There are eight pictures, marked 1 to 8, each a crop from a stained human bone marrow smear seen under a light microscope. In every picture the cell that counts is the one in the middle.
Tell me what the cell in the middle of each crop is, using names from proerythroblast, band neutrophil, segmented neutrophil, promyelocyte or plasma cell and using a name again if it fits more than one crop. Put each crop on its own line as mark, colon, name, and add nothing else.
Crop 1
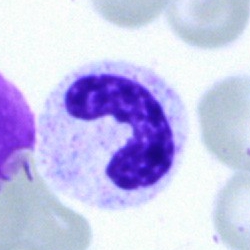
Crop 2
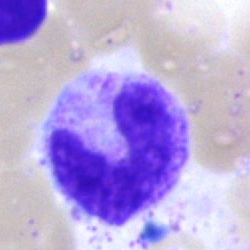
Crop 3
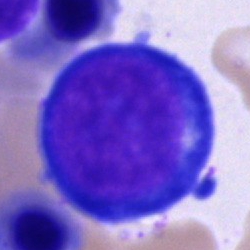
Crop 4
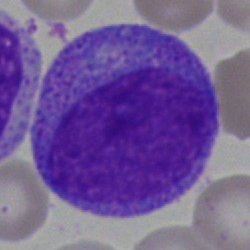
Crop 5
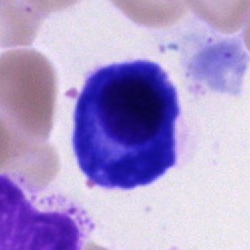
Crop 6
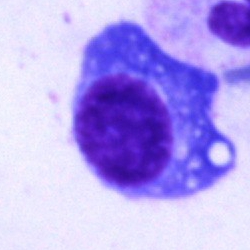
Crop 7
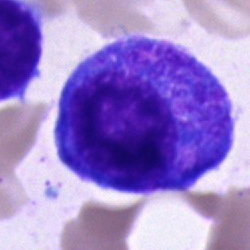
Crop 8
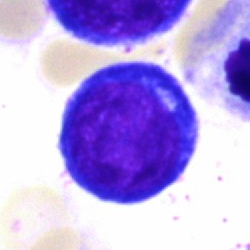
1: segmented neutrophil
2: band neutrophil
3: proerythroblast
4: promyelocyte
5: plasma cell
6: plasma cell
7: promyelocyte
8: proerythroblast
